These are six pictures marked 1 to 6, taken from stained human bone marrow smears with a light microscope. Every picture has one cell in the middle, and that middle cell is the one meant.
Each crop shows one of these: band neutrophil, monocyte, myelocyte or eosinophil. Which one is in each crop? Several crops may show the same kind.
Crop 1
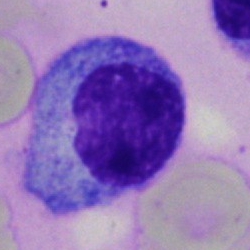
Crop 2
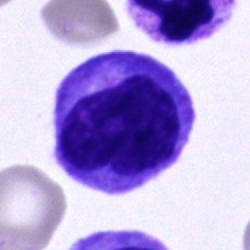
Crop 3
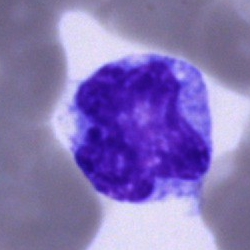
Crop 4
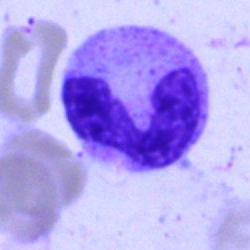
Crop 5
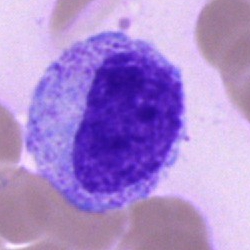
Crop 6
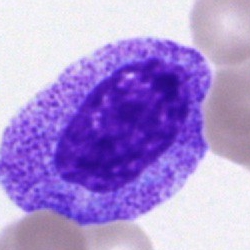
1: myelocyte
2: monocyte
3: monocyte
4: band neutrophil
5: myelocyte
6: myelocyte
